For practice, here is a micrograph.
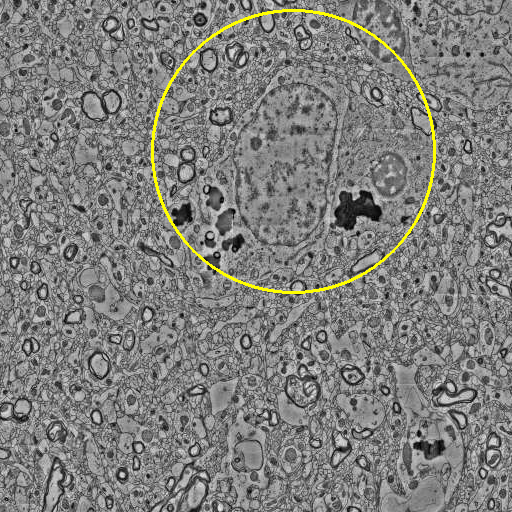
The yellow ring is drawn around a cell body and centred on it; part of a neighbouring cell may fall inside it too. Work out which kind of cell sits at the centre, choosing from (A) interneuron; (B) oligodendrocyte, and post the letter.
A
